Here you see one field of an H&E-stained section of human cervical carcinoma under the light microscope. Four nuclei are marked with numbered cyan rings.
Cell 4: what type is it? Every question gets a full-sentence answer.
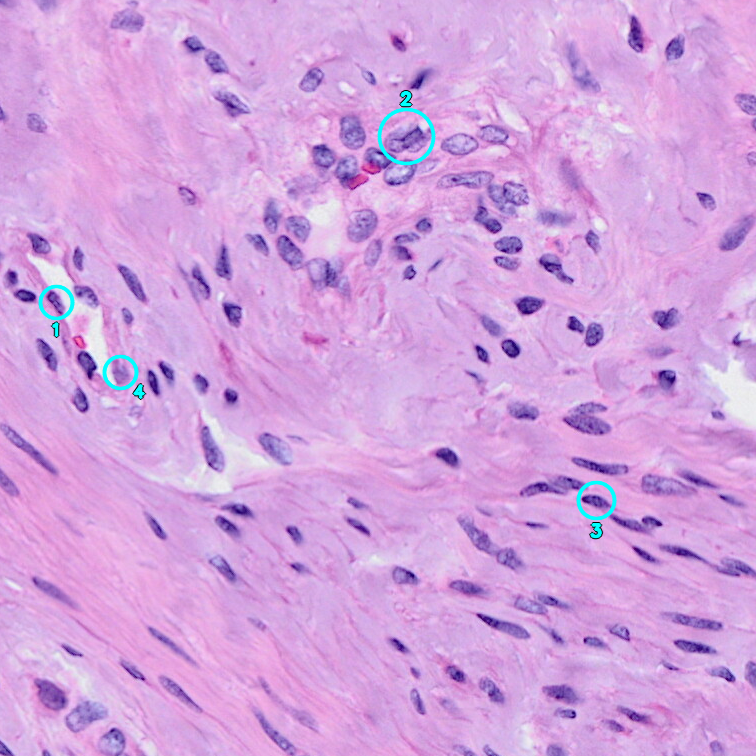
The correct answer for cell 4 is an endothelial cell.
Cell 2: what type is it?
As for number 2, that cell is an endothelial cell.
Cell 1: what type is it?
The cell carrying label 1 is identified as an endothelial cell.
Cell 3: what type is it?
Heads up, the cell numbered 3 is a fibroblast.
